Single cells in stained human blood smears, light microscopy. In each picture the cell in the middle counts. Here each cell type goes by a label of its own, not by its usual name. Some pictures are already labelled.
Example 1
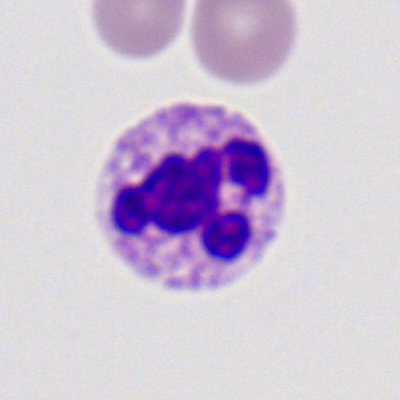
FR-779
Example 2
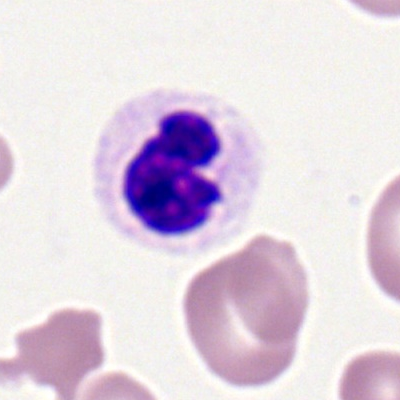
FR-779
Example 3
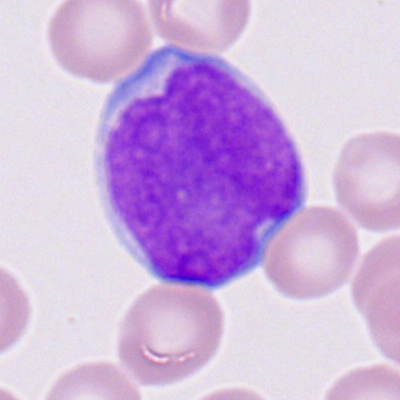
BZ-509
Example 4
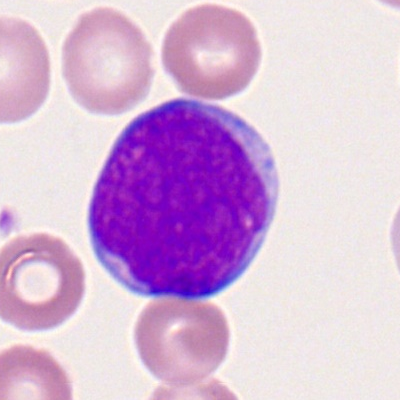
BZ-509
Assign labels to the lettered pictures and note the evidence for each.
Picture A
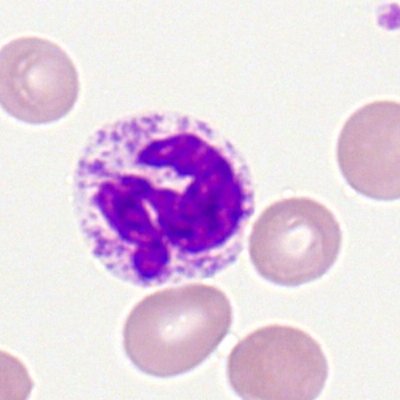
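FR-779. A moderate rim of pale pinkish cytoplasm surrounds the nucleus.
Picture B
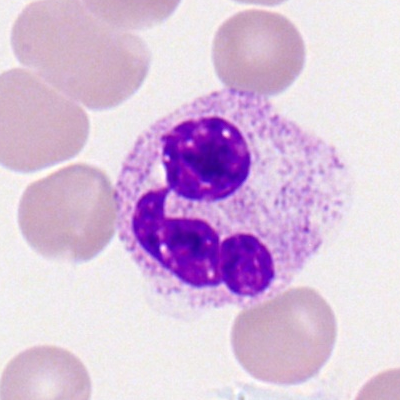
FR-779. The largest lobe sits at the top of the nucleus, above the other two.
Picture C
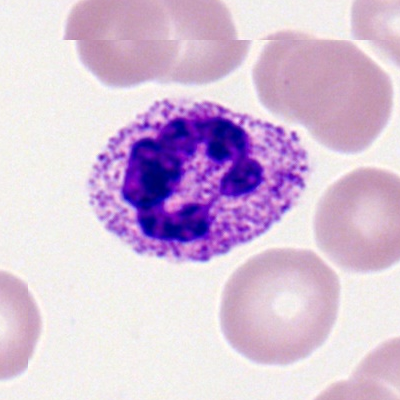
FR-779. The nuclear lobes are arranged in a ring around a central patch of cytoplasm.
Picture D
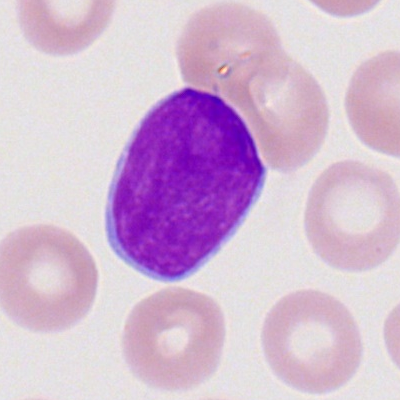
BZ-509. The nucleus fills almost the entire cell, leaving very little cytoplasm.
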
